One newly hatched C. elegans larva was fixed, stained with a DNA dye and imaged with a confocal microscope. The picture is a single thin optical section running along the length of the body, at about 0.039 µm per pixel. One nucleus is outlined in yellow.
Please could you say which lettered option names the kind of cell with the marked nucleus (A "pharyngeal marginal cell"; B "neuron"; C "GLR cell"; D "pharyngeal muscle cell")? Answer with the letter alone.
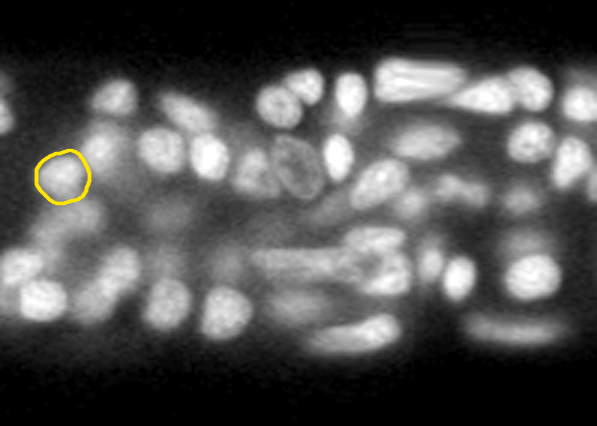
C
